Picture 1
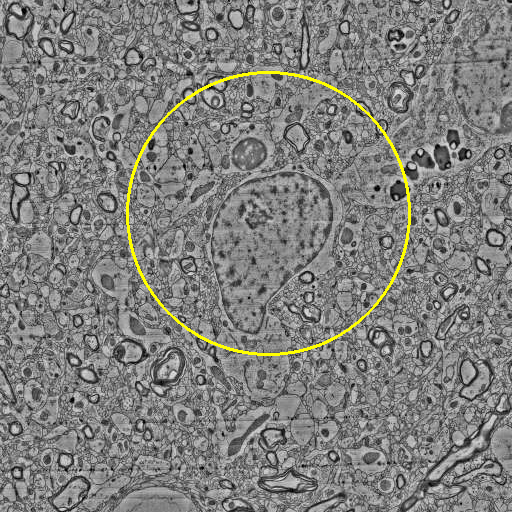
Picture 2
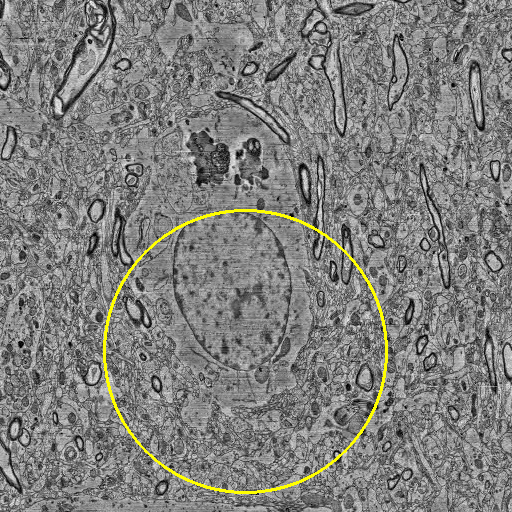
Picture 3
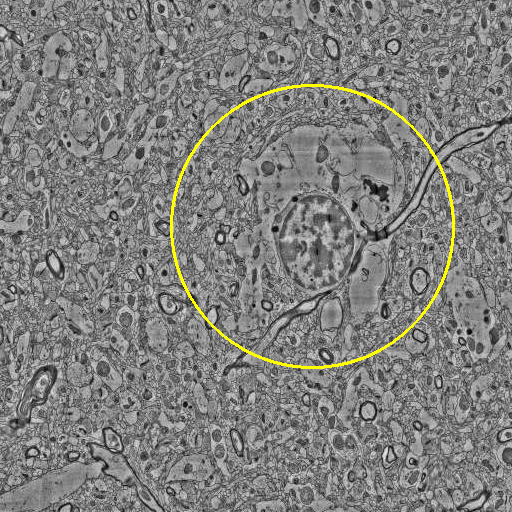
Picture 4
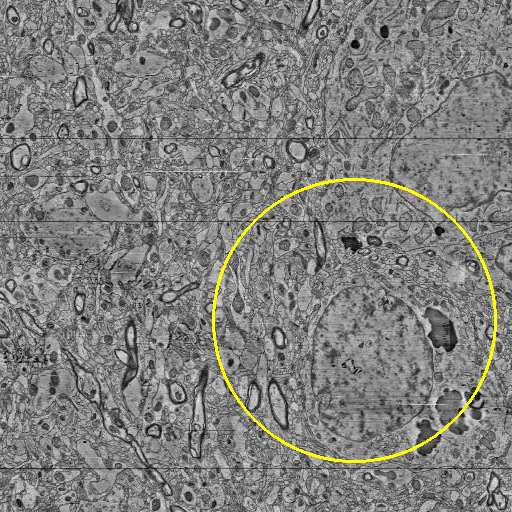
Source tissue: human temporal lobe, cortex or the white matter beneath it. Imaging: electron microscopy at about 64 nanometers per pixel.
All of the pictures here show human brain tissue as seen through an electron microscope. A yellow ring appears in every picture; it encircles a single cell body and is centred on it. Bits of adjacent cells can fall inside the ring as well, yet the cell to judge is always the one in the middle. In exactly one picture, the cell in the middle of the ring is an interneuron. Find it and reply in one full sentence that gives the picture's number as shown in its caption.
Of all the pictures, picture 4 has the right cell at the centre of its ring.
